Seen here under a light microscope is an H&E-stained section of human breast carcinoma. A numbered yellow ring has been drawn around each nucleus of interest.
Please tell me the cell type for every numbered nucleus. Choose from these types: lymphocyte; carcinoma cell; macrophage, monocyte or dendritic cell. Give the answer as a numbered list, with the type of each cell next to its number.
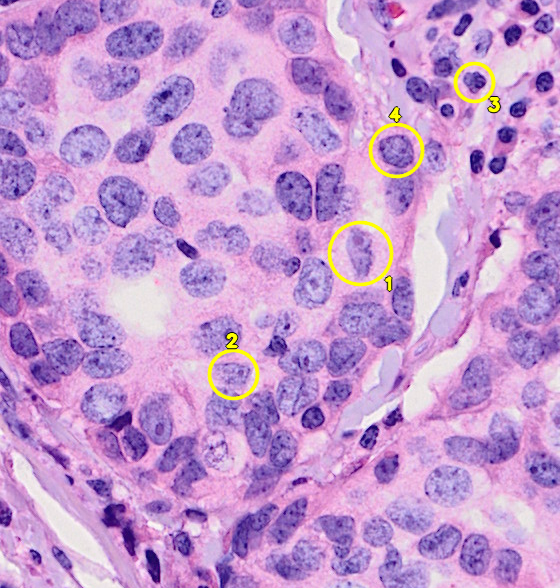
1. carcinoma cell
2. carcinoma cell
3. lymphocyte
4. carcinoma cell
